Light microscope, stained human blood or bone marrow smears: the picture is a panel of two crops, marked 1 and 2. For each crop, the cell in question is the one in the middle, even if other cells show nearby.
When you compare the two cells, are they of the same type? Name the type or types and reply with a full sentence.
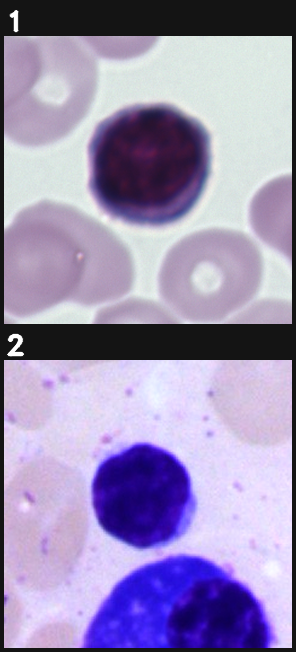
Yes, it is lymphocytes that sit at the centre of both crops.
